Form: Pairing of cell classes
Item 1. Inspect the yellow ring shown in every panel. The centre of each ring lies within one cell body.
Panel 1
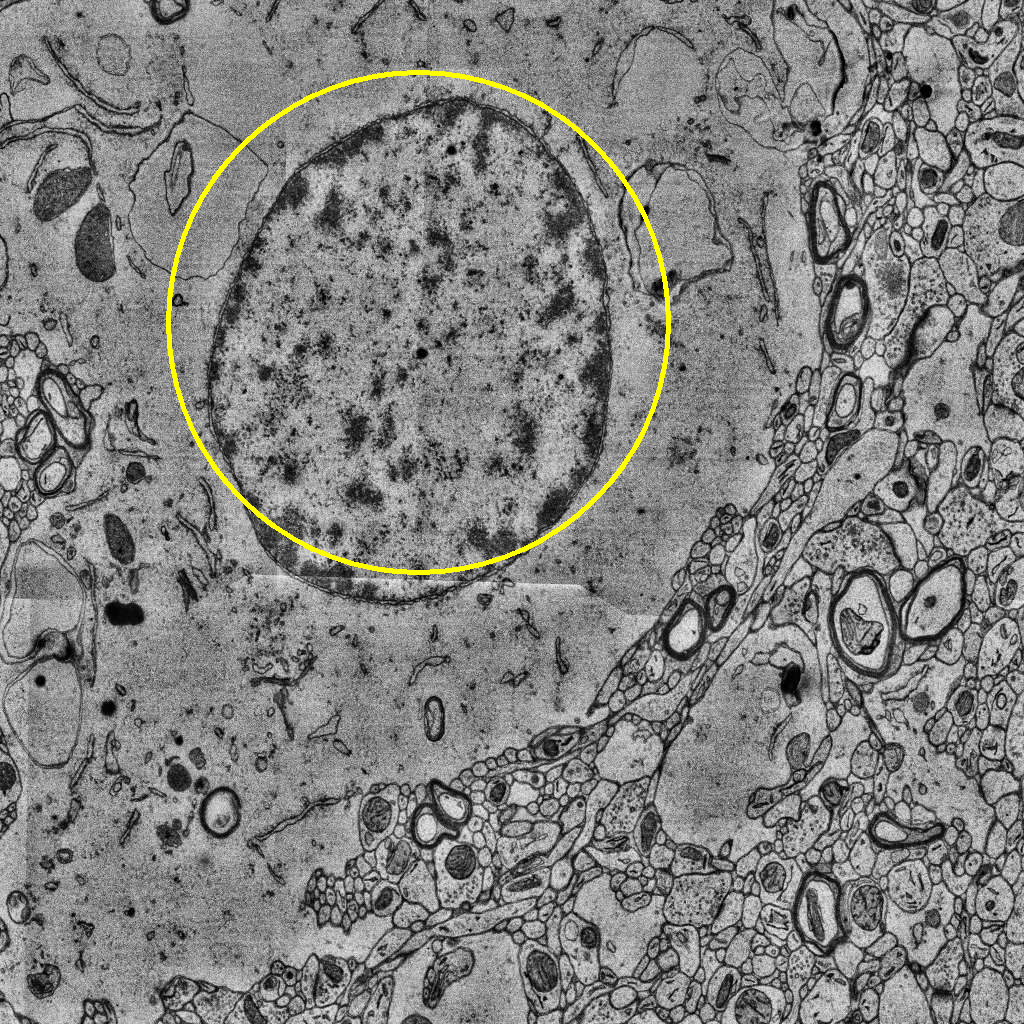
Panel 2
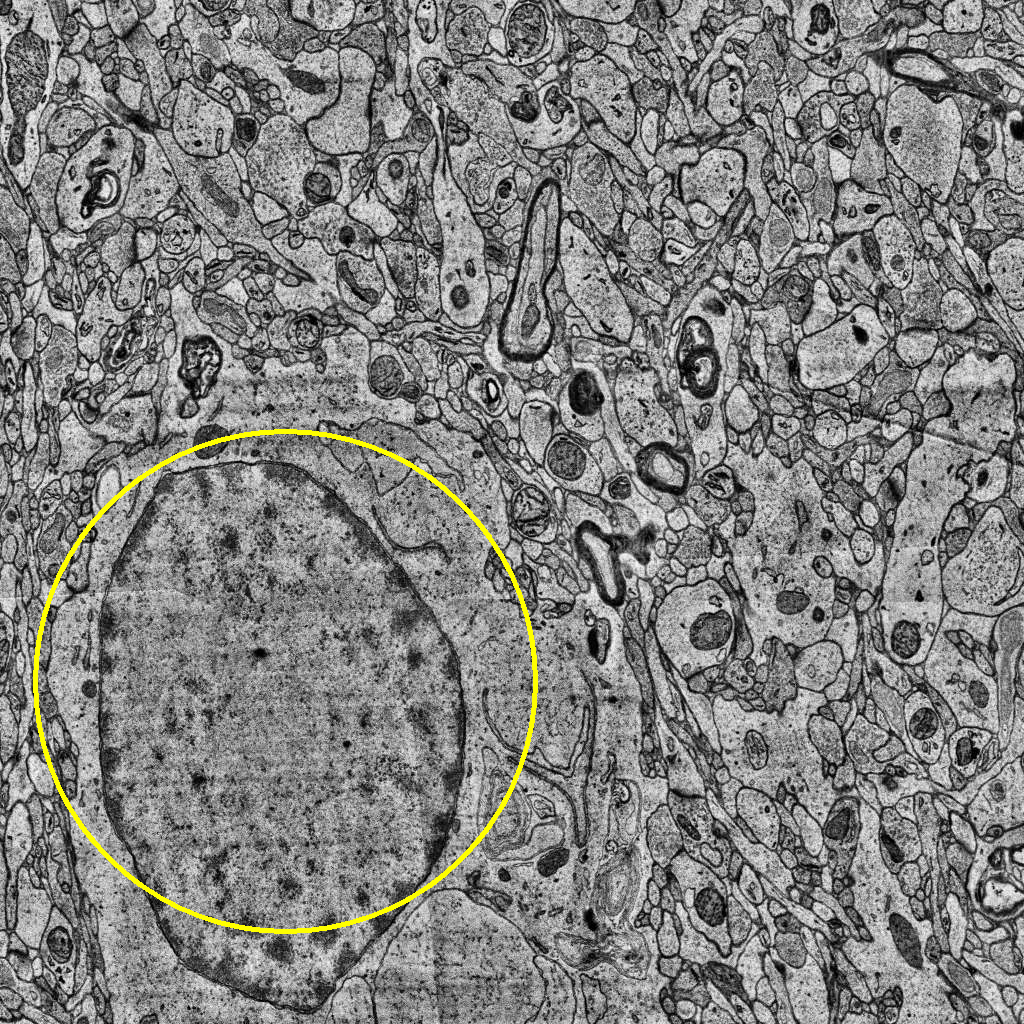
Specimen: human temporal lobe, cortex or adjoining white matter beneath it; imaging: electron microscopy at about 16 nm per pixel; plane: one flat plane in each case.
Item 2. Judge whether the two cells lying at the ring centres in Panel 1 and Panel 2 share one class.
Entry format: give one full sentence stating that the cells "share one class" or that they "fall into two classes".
The cells at the ring centres in Panel 1 and Panel 2 share one class.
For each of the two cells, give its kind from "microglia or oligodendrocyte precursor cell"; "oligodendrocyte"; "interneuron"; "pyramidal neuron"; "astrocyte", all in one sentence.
Both rings mark an astrocyte, one in each picture.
